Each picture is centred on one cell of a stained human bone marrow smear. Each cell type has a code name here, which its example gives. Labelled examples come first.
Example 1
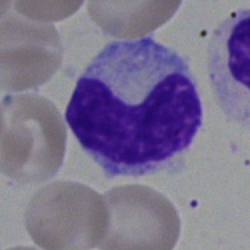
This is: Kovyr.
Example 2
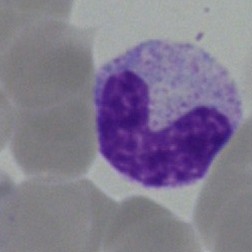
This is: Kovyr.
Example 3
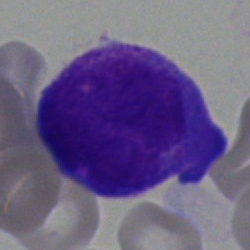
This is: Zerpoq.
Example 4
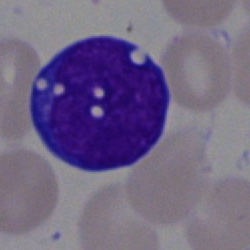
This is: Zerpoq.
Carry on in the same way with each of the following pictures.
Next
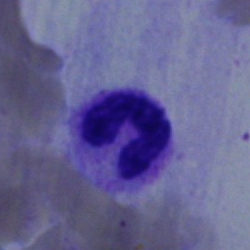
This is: Kovyr.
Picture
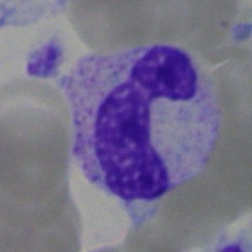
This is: Kovyr.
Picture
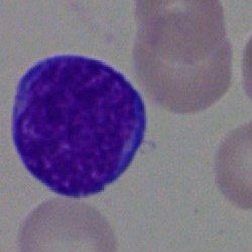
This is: Zerpoq.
